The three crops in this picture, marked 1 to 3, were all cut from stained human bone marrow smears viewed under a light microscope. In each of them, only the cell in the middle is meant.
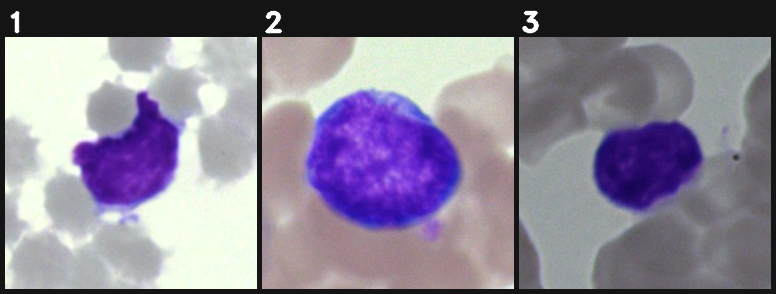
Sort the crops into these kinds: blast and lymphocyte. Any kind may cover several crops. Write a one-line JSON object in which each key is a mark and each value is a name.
{"1": "lymphocyte", "2": "blast", "3": "lymphocyte"}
